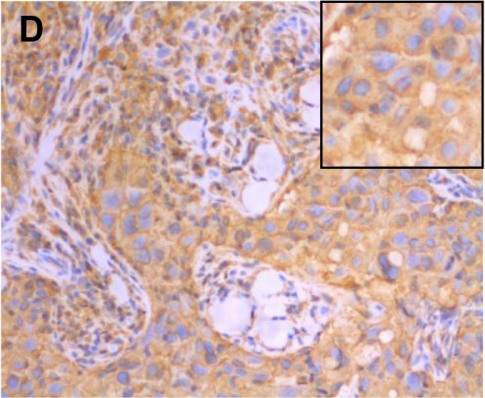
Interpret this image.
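Sheets of large tumor cells with large round to oval nuclei and light brown staining of the cytoplasm and cell borders fill most of the field. Narrow bands of stroma with small, darker brown cells run between the sheets, and a few clear spaces lie among the tumor cells.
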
